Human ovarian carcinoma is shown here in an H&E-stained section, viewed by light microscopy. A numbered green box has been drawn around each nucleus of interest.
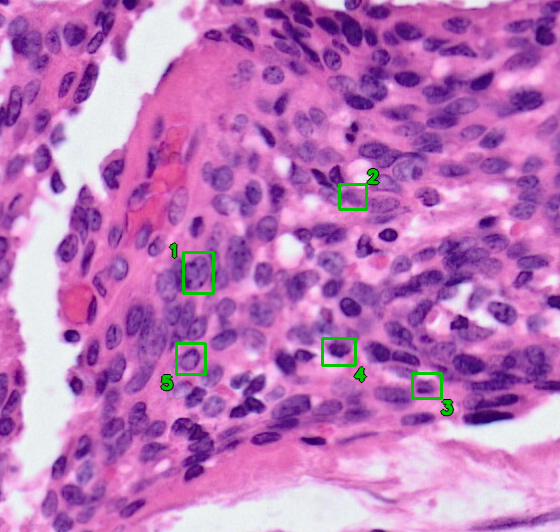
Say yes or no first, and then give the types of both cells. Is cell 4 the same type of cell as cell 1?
Yes, both are carcinoma cells.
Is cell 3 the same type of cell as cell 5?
Yes, both are macrophages or monocytes.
